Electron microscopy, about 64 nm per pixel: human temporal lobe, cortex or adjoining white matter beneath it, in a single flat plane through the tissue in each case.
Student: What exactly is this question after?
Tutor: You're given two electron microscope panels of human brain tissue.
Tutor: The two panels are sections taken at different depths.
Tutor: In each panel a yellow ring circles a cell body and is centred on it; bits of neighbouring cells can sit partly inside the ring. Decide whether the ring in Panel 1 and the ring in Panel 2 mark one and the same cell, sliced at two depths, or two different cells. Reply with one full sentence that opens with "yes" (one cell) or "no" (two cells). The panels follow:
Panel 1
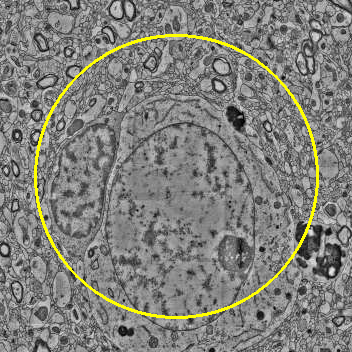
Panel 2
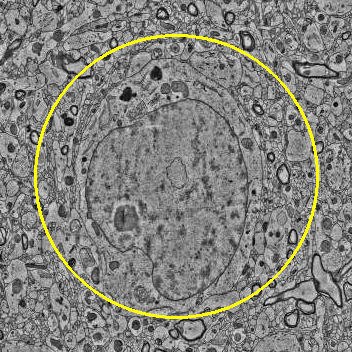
No, the first ring and the second ring mark different cells.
